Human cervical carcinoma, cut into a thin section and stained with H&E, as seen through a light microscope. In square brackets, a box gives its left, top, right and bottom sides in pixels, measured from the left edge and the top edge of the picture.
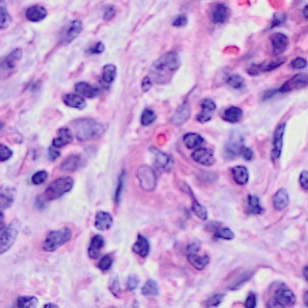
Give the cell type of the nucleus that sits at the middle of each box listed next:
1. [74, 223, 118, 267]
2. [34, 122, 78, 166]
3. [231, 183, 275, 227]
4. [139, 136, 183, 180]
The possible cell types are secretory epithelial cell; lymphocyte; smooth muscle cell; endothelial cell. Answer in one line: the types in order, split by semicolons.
lymphocyte; lymphocyte; lymphocyte; endothelial cell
